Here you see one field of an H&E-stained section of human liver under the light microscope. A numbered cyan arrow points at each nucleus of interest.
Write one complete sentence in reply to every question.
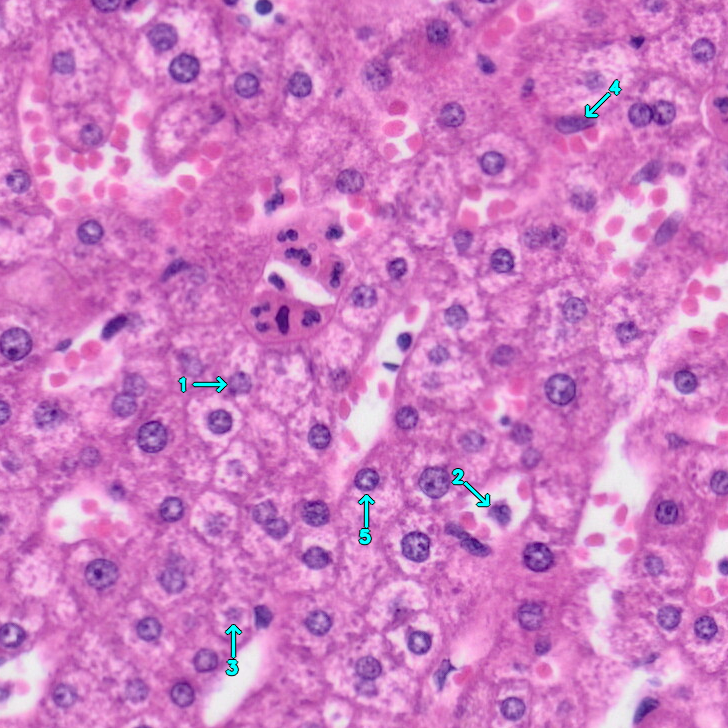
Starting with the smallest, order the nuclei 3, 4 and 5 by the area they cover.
From smallest to largest, the order is 3, 5, 4.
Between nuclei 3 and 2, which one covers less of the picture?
It is nucleus 3; nucleus 2 has about 1.5 times its area.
